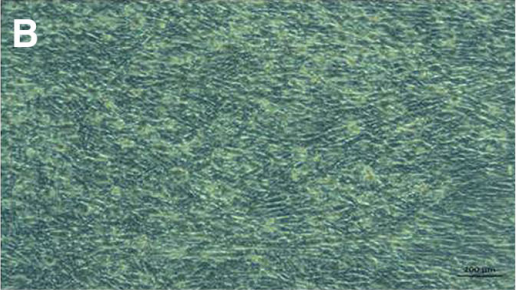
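A confluent monolayer of elongated, spindle-shaped cells lies packed side by side in parallel, swirling streams. No red deposits are seen; the layer appears only grey-green.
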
